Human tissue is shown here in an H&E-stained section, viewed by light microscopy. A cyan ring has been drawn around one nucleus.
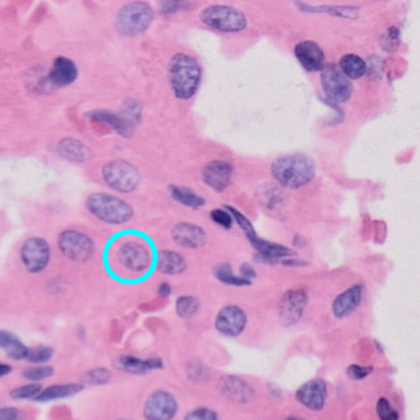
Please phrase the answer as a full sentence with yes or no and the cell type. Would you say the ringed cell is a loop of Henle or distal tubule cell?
Yes, the statement that the ringed cell is a loop of Henle or distal tubule cell is correct.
